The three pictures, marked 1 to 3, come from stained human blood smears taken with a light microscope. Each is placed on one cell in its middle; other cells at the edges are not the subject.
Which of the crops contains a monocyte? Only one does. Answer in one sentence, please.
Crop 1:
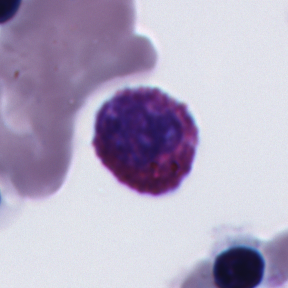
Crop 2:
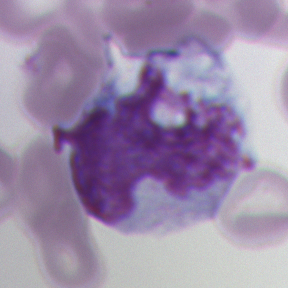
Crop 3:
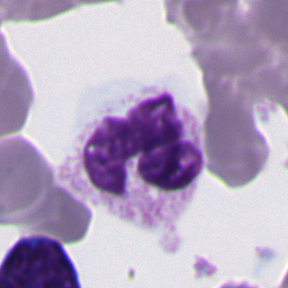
Crop 2 represents a monocyte, while the other crops do not.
